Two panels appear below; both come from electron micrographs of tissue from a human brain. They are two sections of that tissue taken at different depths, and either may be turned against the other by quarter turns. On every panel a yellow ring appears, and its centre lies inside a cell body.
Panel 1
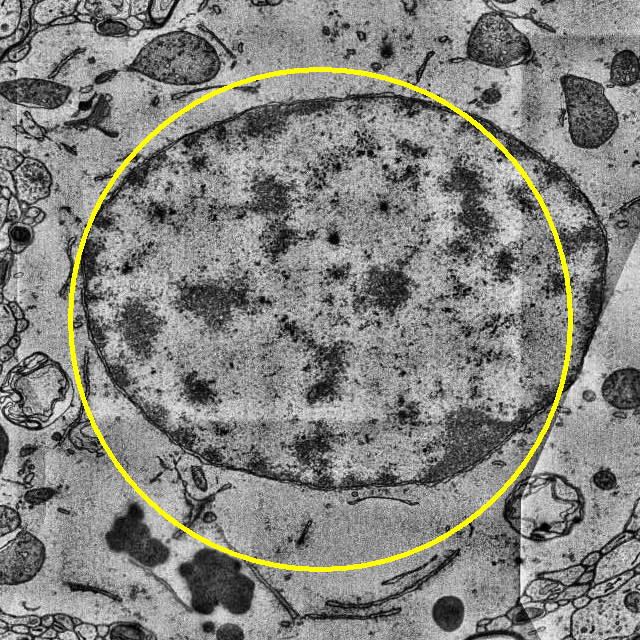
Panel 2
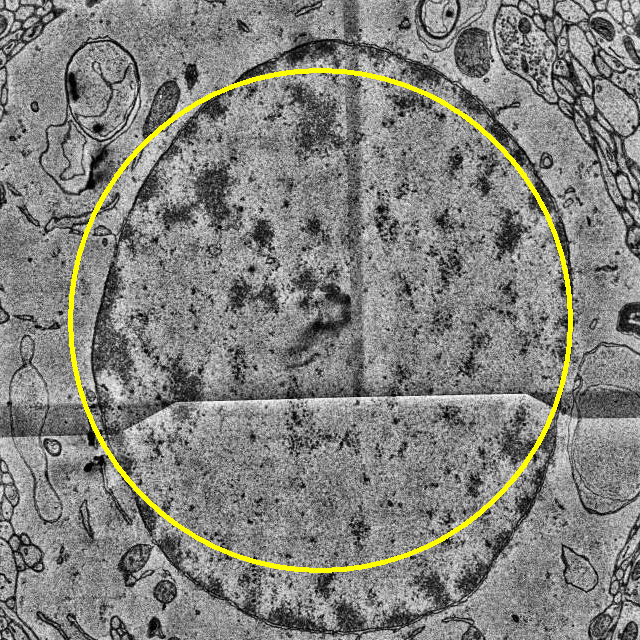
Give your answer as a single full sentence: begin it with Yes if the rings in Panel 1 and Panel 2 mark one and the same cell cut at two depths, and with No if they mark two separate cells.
Yes, these two rings point to one cell rather than two.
